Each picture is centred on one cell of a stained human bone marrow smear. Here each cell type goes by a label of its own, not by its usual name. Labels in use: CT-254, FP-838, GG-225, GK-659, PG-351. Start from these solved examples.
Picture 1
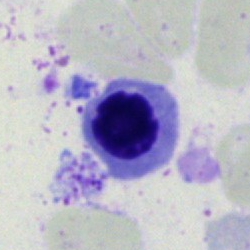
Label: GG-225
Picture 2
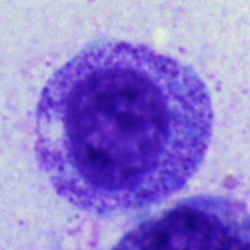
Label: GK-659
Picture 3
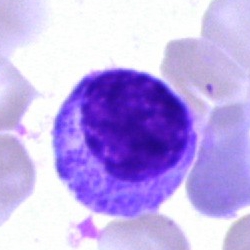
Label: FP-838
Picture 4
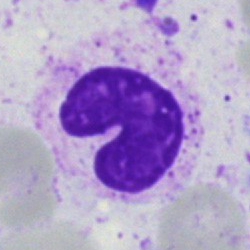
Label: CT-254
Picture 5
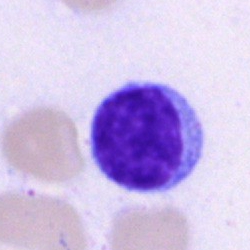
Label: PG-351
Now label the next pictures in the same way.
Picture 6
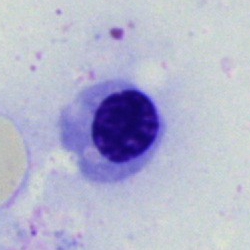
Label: GG-225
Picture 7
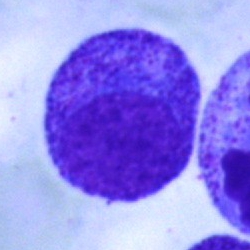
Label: GK-659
